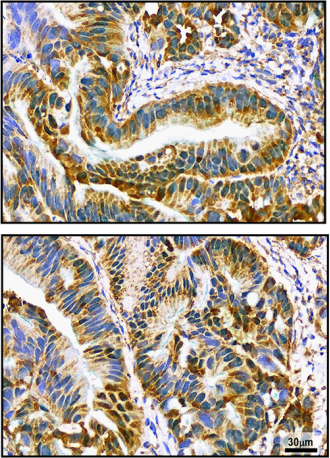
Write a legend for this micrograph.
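Two fields of tumour tissue in which epithelial cells form gland- and duct-like structures with open lumens. The cells are tall and columnar, with elongated, crowded, blue nuclei stacked at different heights. Their cytoplasm is stained brown.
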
